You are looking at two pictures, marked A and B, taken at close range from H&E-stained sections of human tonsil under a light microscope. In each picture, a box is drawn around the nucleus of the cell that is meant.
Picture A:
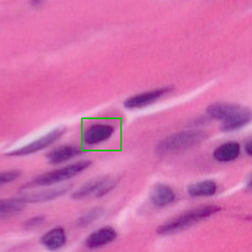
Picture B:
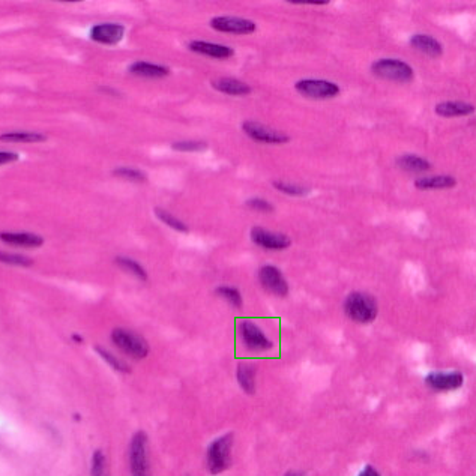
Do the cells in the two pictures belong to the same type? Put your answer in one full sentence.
No, they differ: the cell is a mast cell in picture A and a squamous epithelial cell in picture B.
